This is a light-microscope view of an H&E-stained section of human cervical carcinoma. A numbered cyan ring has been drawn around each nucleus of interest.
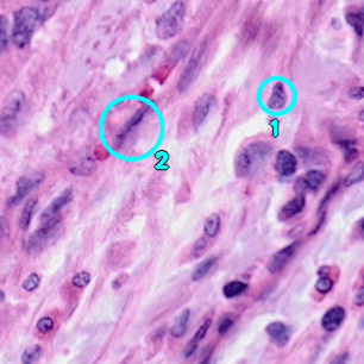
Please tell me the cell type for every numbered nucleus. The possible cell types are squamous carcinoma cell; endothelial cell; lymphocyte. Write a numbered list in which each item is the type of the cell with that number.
1. lymphocyte
2. endothelial cell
